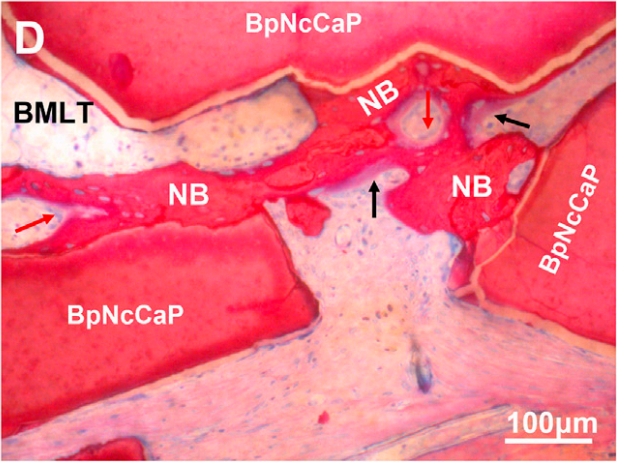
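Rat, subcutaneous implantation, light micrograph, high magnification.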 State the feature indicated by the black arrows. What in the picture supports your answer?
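Unmineralized bone areas. The arrows point to pale purplish seams at the edges of the red-stained bone. These seams stain differently from the bright red bone matrix.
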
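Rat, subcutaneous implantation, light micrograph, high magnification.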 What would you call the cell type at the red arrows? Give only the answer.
Osteoblasts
